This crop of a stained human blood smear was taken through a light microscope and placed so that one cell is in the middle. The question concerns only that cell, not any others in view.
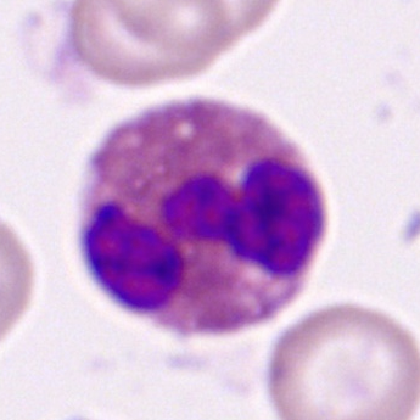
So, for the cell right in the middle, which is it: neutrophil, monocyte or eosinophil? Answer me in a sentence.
Occupying the centre of the crop is an eosinophil.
